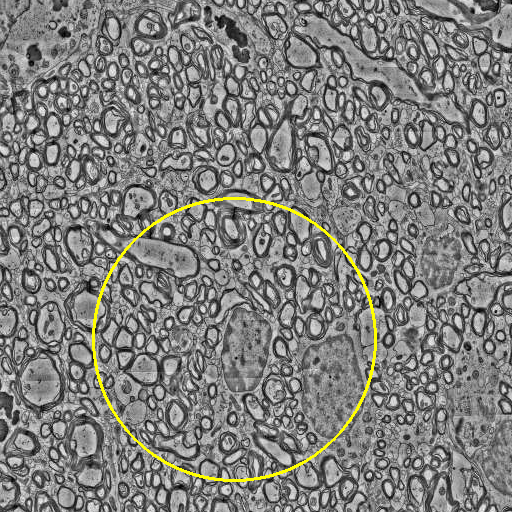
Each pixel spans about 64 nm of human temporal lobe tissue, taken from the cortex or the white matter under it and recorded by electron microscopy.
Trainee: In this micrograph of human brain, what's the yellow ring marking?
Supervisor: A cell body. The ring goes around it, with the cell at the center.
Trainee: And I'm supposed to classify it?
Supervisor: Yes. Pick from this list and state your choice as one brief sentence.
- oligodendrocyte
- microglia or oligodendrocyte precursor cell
The cell at the ring's center is a microglial cell or oligodendrocyte precursor cell.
